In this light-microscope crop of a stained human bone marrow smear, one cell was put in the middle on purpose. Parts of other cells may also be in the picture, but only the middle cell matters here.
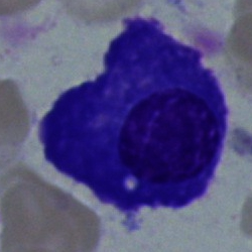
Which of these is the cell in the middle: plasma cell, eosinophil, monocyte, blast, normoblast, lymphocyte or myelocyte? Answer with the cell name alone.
plasma cell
